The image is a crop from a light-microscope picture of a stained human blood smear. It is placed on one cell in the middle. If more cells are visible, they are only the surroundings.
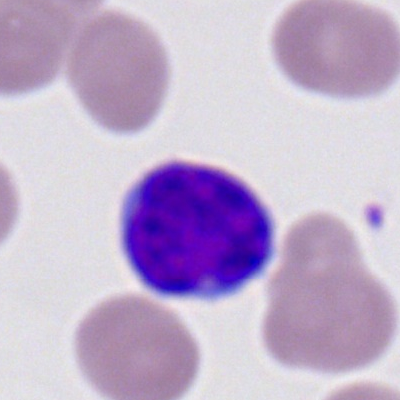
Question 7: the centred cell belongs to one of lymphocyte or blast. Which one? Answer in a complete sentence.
The cell centered in this field of view is a lymphocyte.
